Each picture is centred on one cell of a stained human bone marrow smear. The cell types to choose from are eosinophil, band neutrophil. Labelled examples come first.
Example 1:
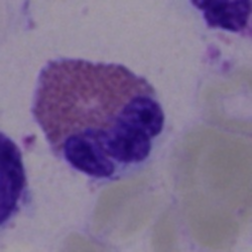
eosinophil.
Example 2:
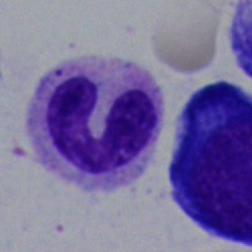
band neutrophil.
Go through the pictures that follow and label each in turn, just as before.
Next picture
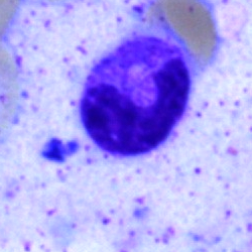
band neutrophil.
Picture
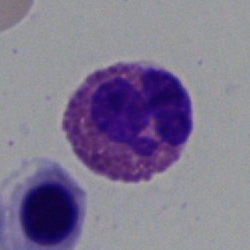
eosinophil.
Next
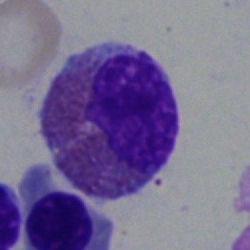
eosinophil.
